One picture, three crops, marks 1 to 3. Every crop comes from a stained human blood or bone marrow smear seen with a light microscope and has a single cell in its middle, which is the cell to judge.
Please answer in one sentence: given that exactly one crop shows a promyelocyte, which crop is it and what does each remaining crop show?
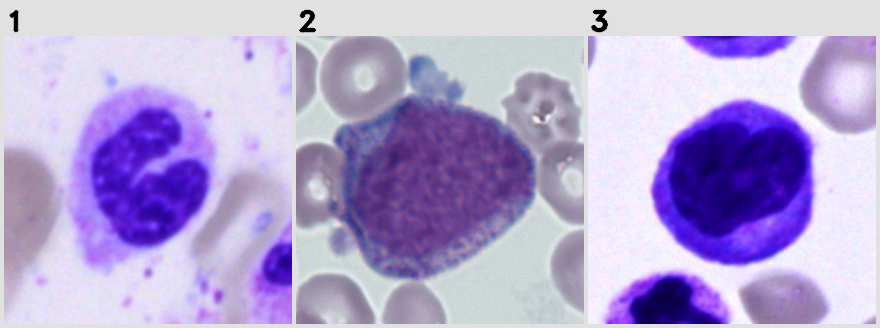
In short, crop 2 is a promyelocyte, and crop 1 is a segmented neutrophil and crop 3 is a monocyte.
